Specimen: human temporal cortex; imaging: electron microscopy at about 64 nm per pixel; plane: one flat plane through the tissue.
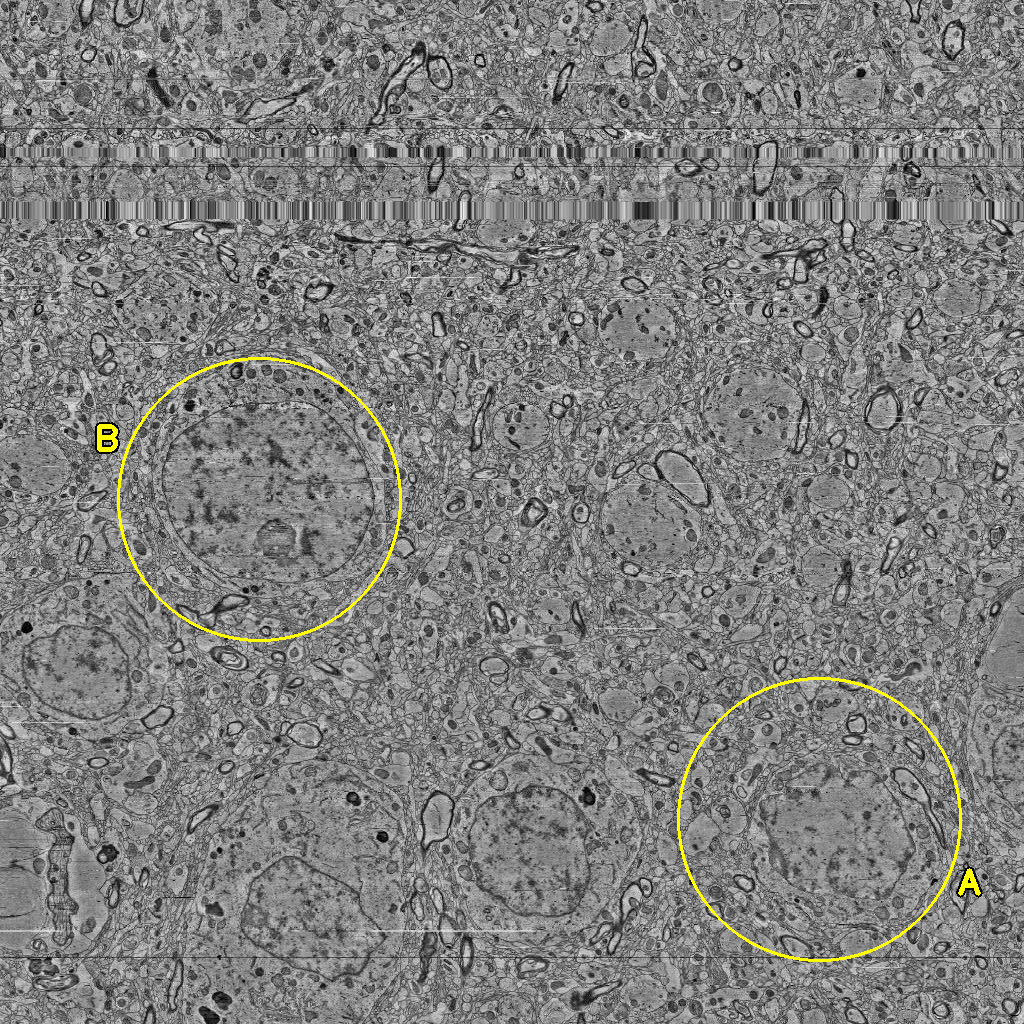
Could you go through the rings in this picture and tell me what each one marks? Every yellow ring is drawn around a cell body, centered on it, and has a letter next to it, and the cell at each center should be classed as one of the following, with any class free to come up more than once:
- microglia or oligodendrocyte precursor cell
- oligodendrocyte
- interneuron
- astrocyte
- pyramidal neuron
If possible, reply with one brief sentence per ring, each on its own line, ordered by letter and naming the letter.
The cell centered in ring A is an interneuron.
The cell centered in ring B is a pyramidal neuron.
